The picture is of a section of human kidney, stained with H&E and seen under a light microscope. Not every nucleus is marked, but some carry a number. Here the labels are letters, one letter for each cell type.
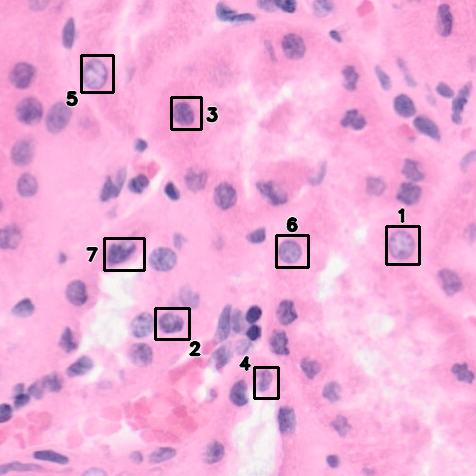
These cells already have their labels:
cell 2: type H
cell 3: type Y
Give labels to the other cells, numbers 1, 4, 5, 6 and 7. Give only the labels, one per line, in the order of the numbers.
type Y
type H
type Y
type Y
type H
